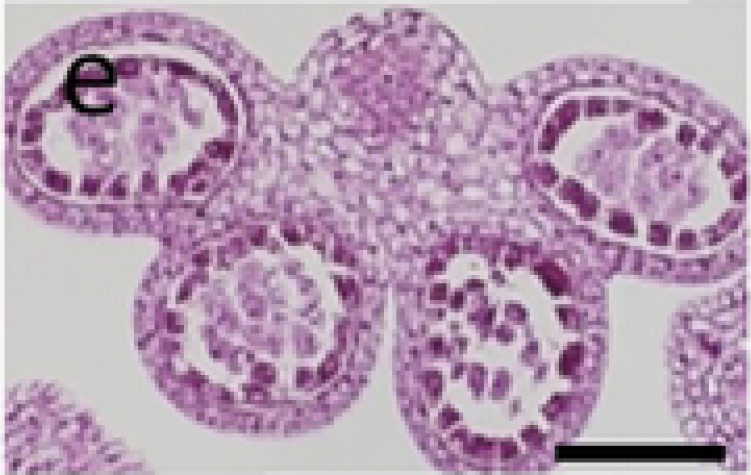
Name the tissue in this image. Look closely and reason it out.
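Anther. Four rounded lobes joined by a central connective. Each lobe holds a central cavity ringed by layered wall cells.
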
